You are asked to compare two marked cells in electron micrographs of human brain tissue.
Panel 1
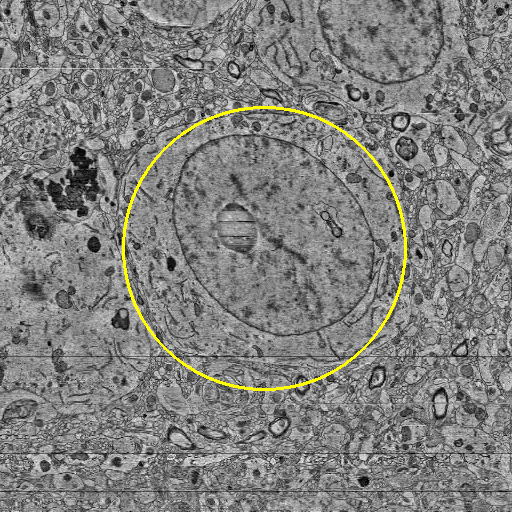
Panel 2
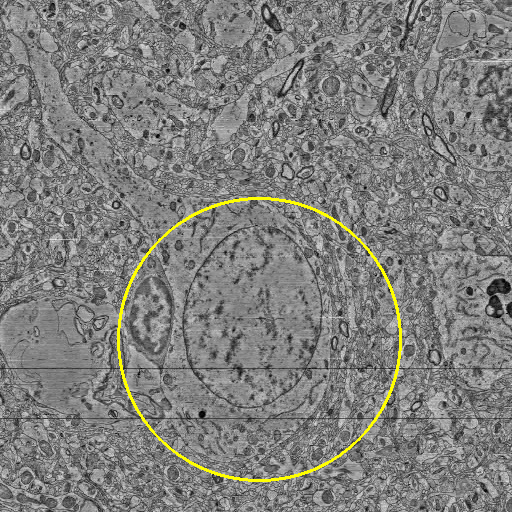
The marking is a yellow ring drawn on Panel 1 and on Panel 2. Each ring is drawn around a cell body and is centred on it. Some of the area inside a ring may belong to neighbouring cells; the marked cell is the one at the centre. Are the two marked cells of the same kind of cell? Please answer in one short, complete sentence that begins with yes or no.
Yes, the two marked cells are of the same kind.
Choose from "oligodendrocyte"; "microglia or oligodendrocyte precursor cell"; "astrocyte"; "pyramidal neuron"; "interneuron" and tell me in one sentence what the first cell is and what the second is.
Each cell, in the first picture and the second, is a pyramidal neuron.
